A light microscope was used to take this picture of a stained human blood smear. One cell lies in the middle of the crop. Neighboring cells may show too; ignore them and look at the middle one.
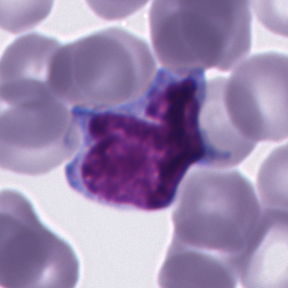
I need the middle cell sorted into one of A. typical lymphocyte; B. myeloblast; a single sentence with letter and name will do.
The central cell, a typical lymphocyte, is correctly identified by option A.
